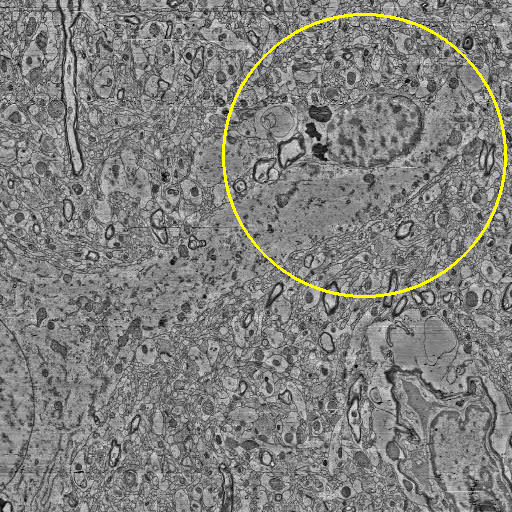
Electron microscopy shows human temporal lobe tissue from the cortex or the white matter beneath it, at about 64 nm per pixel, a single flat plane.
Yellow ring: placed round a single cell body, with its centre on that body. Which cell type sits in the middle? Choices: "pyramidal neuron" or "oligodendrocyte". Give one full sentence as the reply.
It is an oligodendrocyte whose cell body sits at the centre of the yellow ring.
